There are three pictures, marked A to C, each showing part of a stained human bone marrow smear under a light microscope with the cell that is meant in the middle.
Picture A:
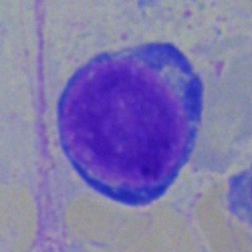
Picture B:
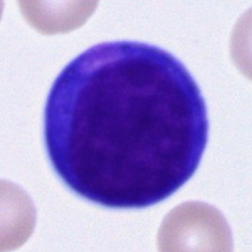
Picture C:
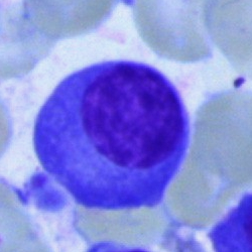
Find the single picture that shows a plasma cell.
C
